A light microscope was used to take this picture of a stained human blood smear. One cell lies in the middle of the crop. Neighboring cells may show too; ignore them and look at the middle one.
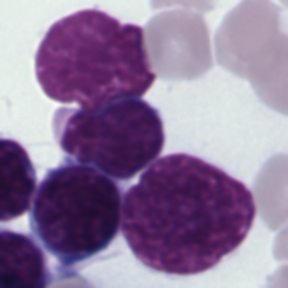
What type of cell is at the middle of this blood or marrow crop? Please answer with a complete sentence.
The cell found in the middle of this crop is a myeloblast.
